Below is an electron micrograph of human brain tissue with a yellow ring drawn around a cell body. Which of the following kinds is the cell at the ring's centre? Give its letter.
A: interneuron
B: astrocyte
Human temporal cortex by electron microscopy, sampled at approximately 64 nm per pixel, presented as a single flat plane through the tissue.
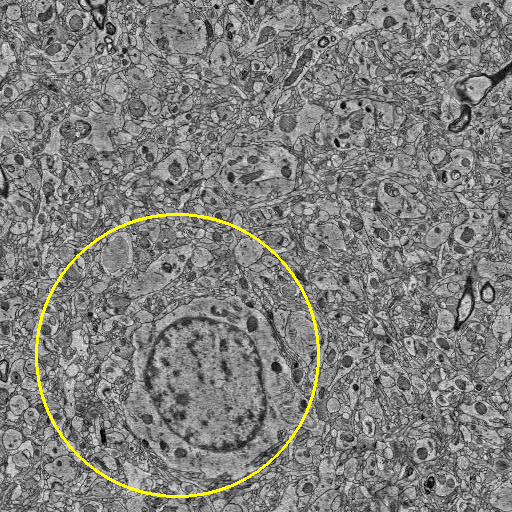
B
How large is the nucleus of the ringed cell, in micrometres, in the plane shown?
Roughly 9 by 8 micrometres is the size of the nucleus in this plane.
